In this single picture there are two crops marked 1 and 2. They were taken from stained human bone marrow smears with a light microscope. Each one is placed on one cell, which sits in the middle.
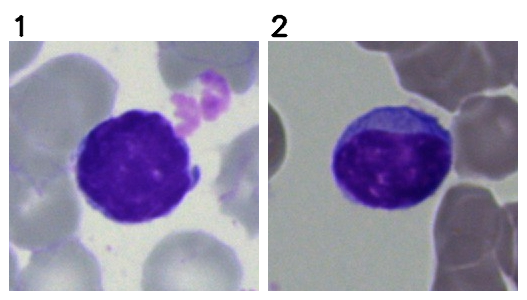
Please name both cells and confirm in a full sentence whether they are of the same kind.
Yes, both crops depict lymphocytes at the centre.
